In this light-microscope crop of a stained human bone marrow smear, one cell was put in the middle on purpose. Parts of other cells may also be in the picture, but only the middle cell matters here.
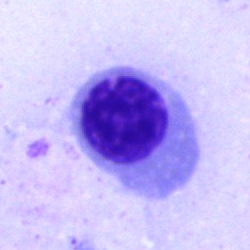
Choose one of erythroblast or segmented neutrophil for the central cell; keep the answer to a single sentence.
The cell occupying the middle of the crop is an erythroblast.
